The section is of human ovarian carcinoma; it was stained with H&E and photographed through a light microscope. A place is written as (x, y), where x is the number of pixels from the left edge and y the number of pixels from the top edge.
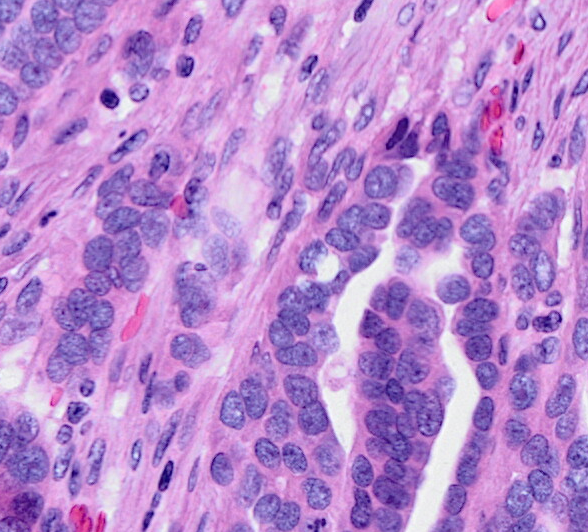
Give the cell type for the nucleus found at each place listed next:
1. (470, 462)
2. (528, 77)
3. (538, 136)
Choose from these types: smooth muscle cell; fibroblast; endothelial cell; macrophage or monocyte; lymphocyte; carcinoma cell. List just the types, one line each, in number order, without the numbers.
carcinoma cell
fibroblast
fibroblast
